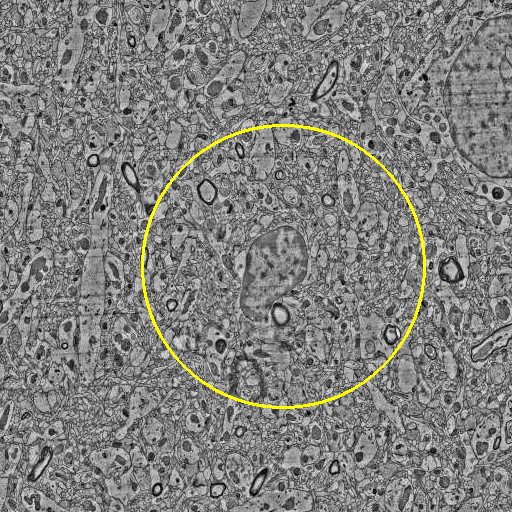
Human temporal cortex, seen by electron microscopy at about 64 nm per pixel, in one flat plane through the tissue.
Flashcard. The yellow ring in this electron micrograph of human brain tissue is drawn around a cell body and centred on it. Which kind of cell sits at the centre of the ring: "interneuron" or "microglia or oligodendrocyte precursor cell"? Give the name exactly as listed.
microglia or oligodendrocyte precursor cell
